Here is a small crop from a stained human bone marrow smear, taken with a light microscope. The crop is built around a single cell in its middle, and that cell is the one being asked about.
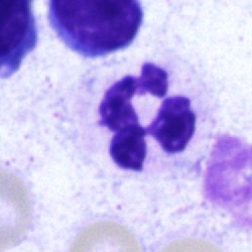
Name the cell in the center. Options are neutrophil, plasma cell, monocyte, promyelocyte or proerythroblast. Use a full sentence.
The cell found in the middle of this crop is a neutrophil.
